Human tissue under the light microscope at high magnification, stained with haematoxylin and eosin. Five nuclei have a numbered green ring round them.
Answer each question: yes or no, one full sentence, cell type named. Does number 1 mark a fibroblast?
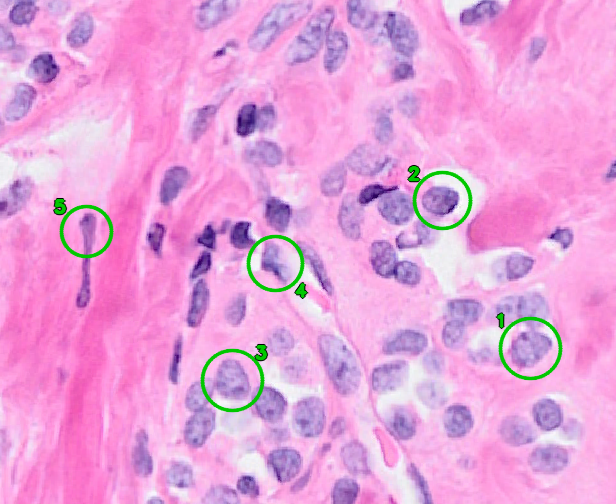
No, rather than a fibroblast, cell number 1 is a carcinoma cell.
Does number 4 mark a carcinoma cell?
No, it is an endothelial cell that is marked with number 4, not a carcinoma cell.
